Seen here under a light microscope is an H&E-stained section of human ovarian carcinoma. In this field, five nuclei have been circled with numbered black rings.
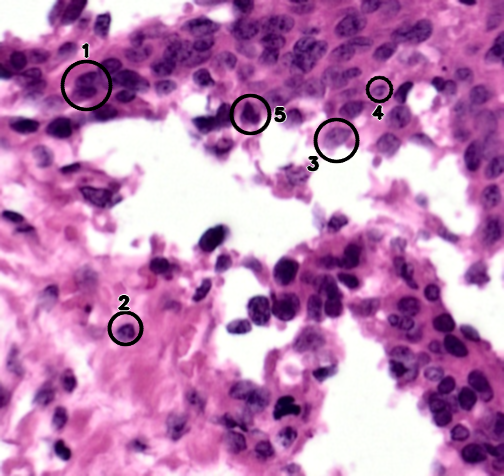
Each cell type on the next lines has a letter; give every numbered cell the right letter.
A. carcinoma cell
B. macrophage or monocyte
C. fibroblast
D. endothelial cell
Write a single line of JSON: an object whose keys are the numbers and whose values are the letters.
{"1": "A", "2": "B", "3": "A", "4": "B", "5": "A"}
